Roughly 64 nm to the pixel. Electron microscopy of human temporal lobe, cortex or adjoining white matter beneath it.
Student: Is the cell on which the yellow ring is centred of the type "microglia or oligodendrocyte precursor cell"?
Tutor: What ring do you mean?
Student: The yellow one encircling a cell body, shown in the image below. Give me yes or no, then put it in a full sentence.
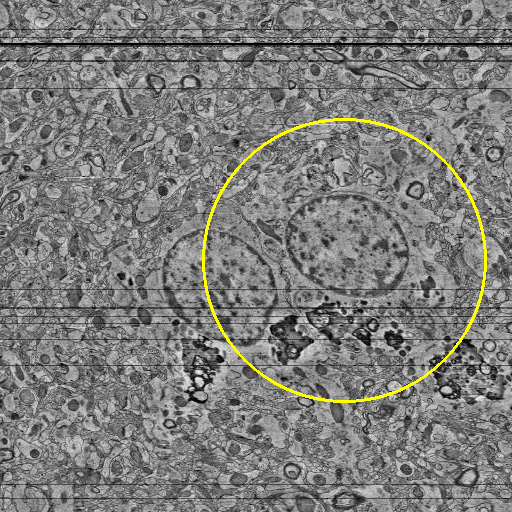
No, the cell on which the yellow ring in the image is centred has a different type.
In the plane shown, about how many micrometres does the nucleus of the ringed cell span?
The ringed cell's nucleus measures approximately 8 by 6 micrometres in this plane.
